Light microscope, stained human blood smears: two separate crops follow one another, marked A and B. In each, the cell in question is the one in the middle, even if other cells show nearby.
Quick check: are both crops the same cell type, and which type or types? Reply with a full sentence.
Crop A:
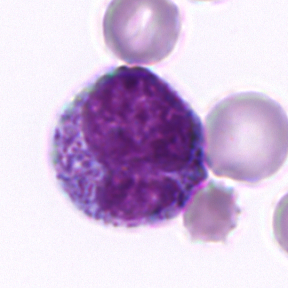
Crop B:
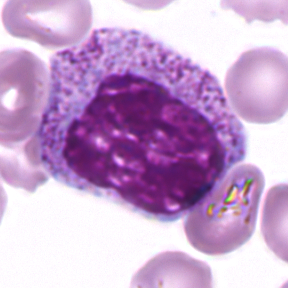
Yes, shown in both crops are myelocytes.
